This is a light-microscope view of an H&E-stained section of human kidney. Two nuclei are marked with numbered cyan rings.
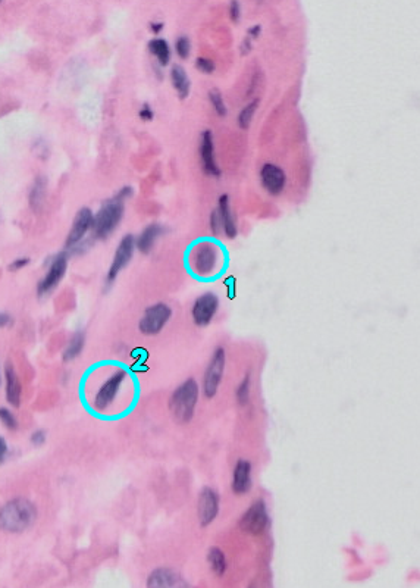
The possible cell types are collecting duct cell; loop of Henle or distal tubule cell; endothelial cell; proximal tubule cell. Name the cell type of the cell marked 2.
endothelial cell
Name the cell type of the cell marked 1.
loop of Henle or distal tubule cell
